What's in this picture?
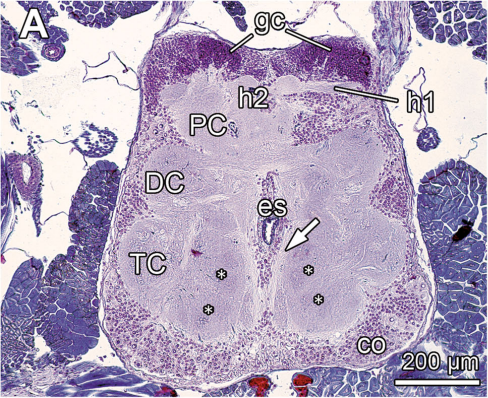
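This is a transverse section through a central nervous system mass, in which a purple rind of densely packed cell bodies surrounds large pale, finely fibrous neuropil regions. Dorsally the rind is thick and darker, made of very small, tightly packed nuclei, in contrast to the looser, larger nuclei of the lateral and ventral rind. A strand of fibres with a few nuclei runs beside the esophagus.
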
